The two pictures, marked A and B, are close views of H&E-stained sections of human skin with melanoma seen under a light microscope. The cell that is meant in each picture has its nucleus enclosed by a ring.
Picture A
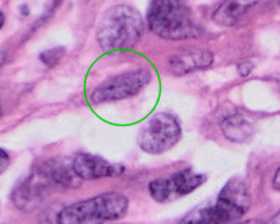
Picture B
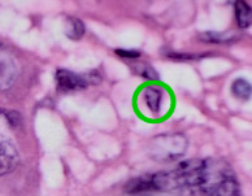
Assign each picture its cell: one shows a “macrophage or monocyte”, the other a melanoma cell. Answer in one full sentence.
Picture A shows a melanoma cell and picture B shows a “macrophage or monocyte”.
